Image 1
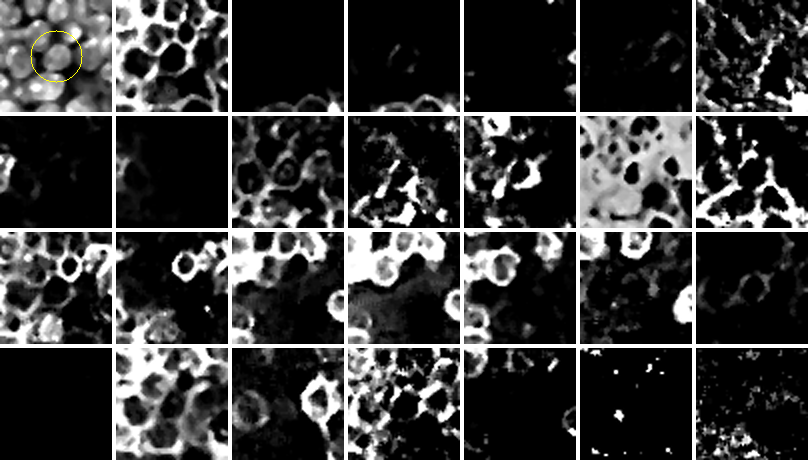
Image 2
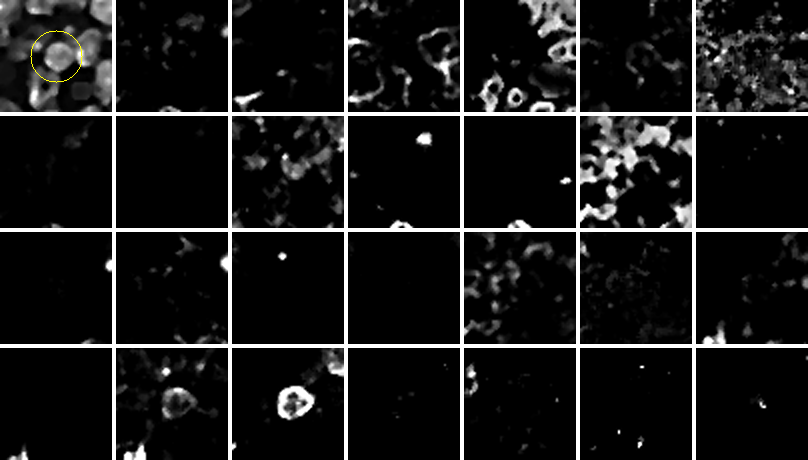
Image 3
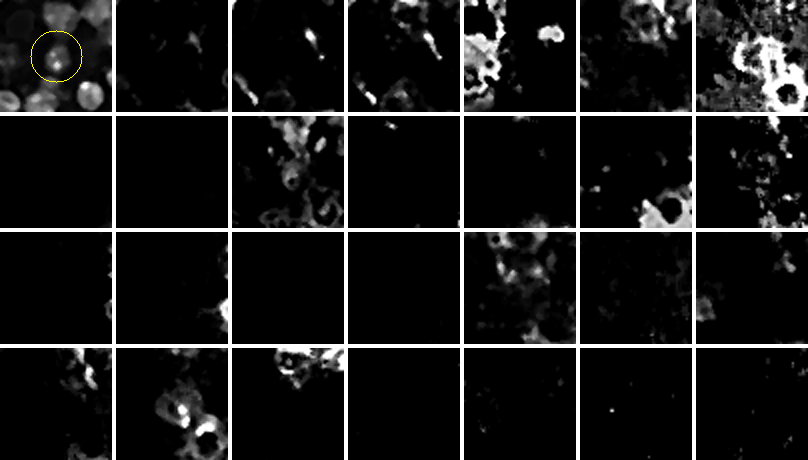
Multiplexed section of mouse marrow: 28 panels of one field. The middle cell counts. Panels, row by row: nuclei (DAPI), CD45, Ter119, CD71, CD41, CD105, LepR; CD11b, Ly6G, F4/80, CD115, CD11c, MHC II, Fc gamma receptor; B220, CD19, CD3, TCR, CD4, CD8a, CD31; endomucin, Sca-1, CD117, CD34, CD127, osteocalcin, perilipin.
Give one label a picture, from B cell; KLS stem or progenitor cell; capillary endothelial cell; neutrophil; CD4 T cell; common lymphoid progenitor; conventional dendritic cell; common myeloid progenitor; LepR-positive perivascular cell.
(1) conventional dendritic cell
(2) KLS stem or progenitor cell
(3) LepR-positive perivascular cell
